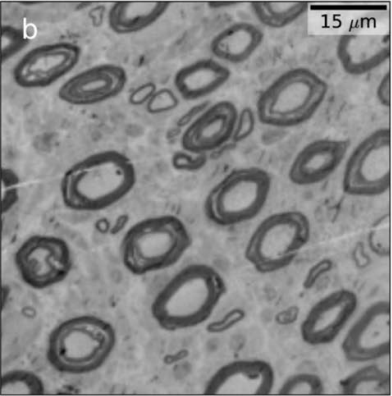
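A cross-section of nerve shows many axons cut transversely, each enclosed in a thick dark-staining ring, packed in a pale grey background. The profiles vary in size from large round or oval ones to small ones with thin rings, and some rings appear doubled or folded.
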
